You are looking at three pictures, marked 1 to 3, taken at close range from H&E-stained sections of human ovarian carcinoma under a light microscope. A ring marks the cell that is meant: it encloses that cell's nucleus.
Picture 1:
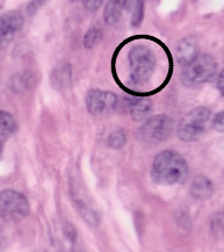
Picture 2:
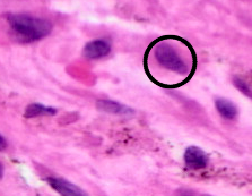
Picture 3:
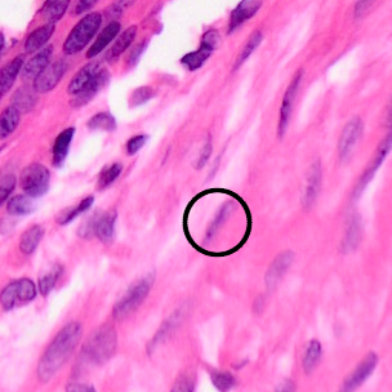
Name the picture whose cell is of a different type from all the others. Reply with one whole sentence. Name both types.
Unlike the rest, which show fibroblasts, picture 1 shows a carcinoma cell.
